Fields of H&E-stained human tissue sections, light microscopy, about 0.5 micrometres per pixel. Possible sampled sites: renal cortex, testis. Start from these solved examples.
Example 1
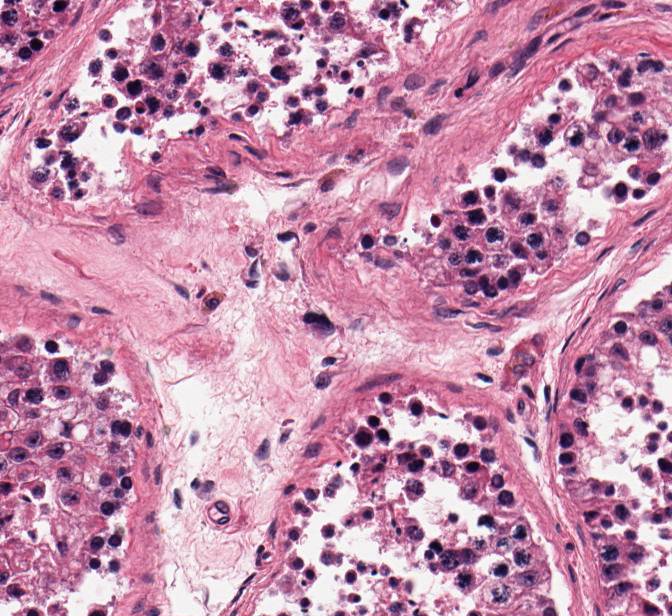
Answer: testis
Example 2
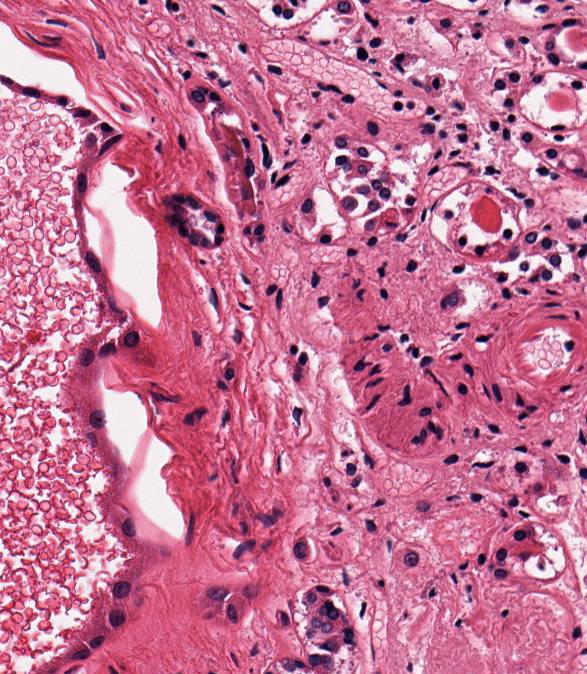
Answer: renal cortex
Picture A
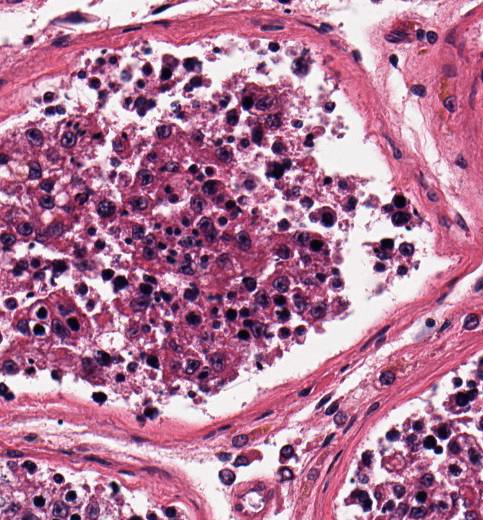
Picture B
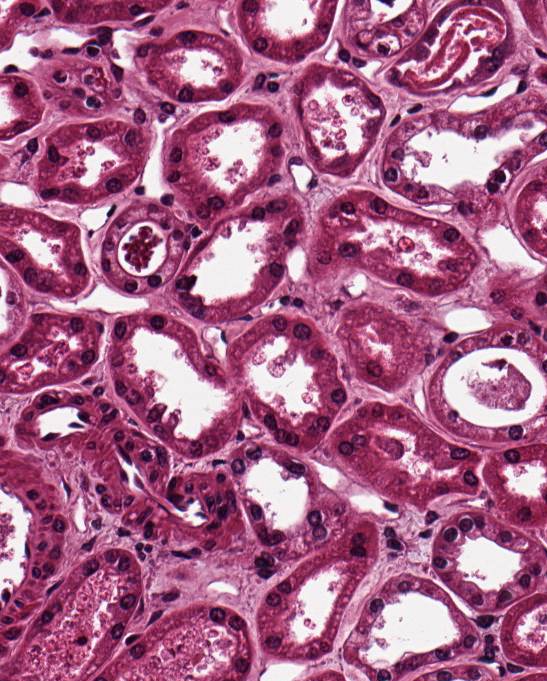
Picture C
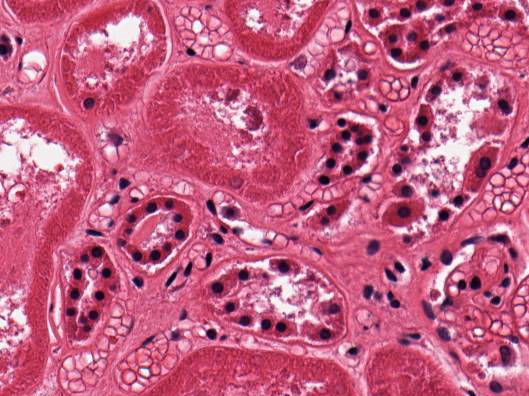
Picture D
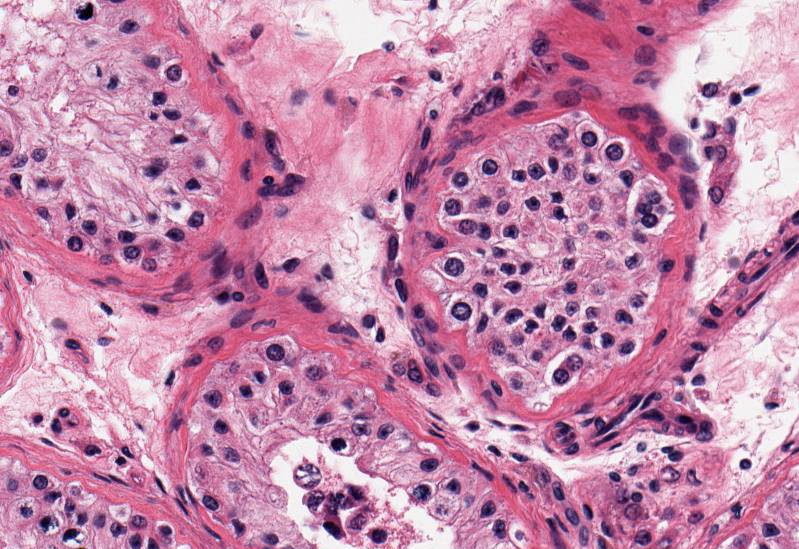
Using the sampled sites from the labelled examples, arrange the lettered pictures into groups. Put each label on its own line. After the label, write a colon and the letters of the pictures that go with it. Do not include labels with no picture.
renal cortex: B, C
testis: A, D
